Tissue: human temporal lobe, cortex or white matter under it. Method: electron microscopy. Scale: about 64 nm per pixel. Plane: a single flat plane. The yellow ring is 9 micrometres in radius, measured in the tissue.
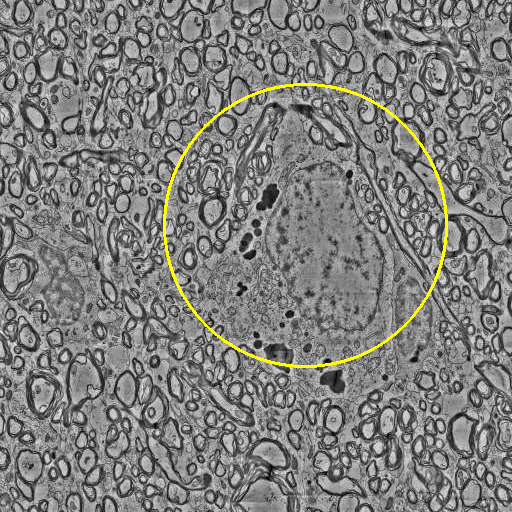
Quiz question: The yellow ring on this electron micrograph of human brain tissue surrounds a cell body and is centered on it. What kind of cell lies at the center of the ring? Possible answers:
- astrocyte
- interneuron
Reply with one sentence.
The ring's center lies on an interneuron.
